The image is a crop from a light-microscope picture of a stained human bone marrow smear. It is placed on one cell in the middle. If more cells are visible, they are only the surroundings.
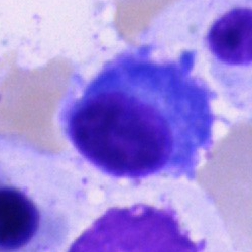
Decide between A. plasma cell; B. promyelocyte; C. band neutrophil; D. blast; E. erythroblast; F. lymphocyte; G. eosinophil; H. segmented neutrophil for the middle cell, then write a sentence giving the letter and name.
The cell at the centre is a plasma cell, and option A accordingly is correct.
